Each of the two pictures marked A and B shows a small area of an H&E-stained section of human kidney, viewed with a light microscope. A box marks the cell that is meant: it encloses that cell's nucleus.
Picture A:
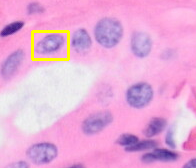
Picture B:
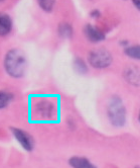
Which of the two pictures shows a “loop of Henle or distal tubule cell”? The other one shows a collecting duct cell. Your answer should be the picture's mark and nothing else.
B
